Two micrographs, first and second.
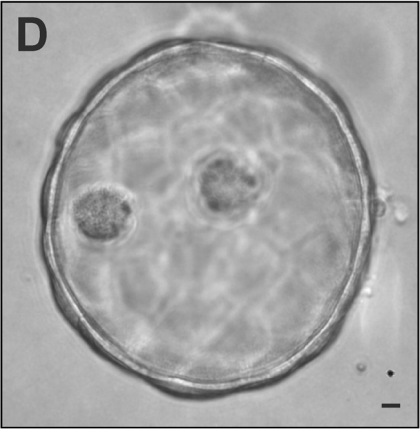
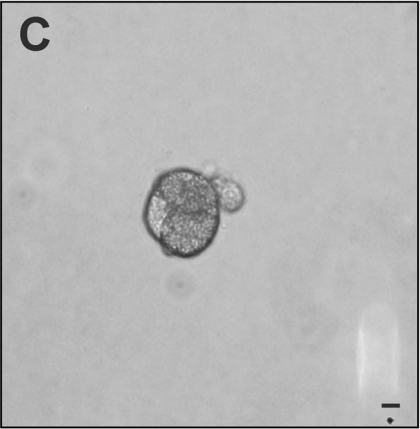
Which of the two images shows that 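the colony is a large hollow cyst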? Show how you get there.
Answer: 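The first image. Second image: a small, compact, solid-looking colony. First image: a large round colony with a thin wall and a clear interior.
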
